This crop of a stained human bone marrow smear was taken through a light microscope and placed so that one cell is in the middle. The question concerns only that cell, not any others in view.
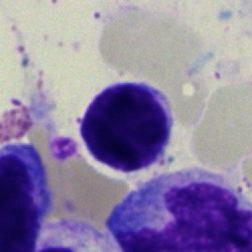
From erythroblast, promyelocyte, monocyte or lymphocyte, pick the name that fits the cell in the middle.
lymphocyte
